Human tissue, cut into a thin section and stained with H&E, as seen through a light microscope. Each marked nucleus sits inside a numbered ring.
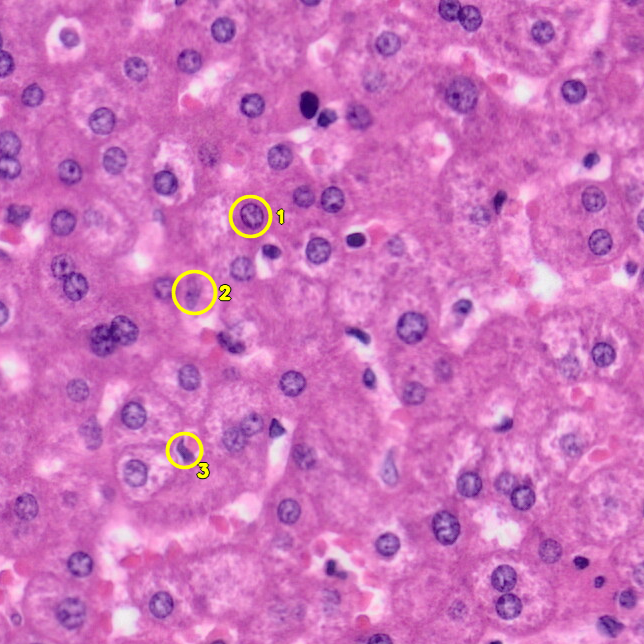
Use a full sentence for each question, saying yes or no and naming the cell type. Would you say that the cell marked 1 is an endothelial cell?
No, not an endothelial cell: the cell with number 1 is a hepatocyte.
